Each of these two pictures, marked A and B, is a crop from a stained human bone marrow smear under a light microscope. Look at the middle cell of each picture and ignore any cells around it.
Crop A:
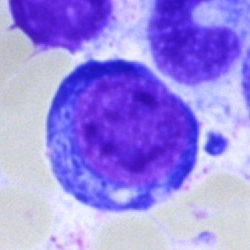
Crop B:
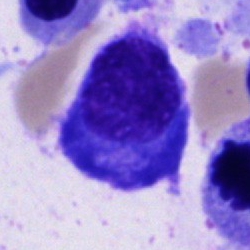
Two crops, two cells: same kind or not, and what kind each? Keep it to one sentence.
No, mark crop A as a proerythroblast and crop B as a plasma cell.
